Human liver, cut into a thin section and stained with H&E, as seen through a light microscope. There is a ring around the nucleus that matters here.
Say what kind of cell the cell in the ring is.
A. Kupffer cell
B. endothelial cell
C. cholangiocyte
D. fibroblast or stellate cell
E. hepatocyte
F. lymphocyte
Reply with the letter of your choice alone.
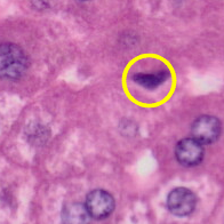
D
